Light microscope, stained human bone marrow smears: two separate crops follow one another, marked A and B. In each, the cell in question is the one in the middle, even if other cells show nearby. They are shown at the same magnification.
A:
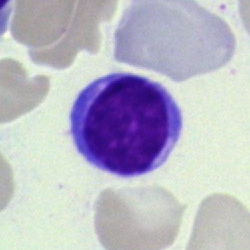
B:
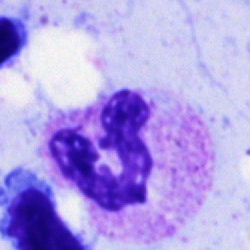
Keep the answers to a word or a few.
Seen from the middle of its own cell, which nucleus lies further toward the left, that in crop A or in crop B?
B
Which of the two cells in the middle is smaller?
A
